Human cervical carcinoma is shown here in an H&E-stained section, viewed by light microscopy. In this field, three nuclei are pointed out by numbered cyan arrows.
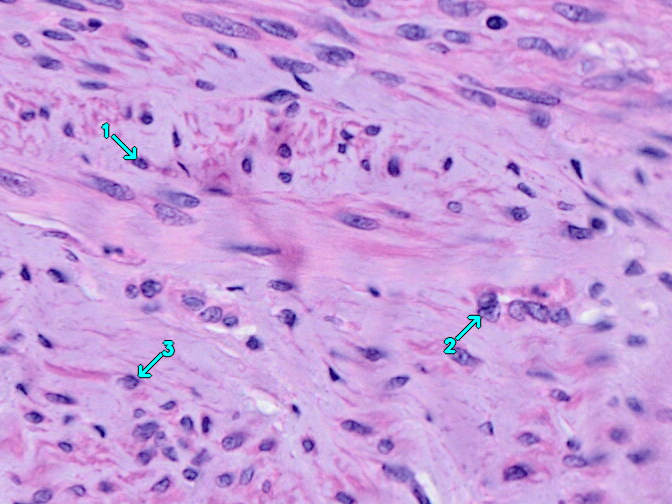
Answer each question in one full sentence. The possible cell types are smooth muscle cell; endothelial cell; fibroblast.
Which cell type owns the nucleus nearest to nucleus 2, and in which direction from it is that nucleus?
It is an endothelial cell, whose nucleus lies to the right of nucleus 2.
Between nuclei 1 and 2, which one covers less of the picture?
Nucleus 1 covers less area, with nucleus 2 about 3 times as large.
